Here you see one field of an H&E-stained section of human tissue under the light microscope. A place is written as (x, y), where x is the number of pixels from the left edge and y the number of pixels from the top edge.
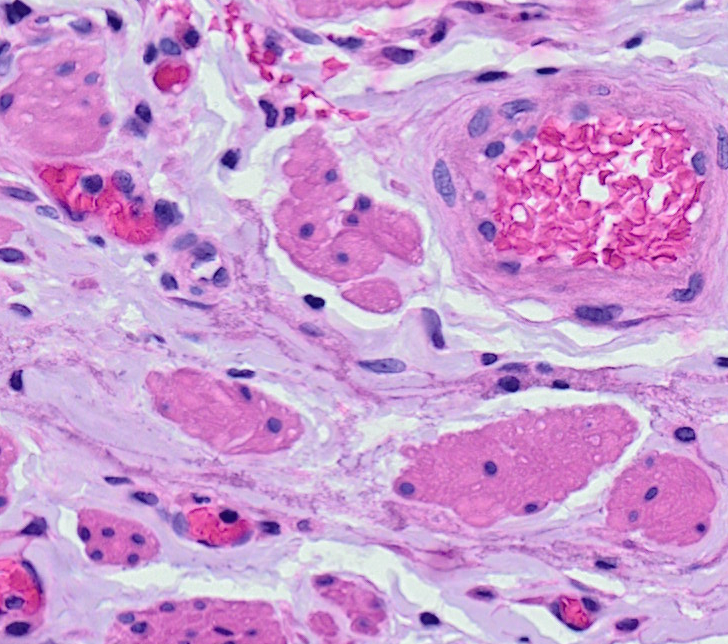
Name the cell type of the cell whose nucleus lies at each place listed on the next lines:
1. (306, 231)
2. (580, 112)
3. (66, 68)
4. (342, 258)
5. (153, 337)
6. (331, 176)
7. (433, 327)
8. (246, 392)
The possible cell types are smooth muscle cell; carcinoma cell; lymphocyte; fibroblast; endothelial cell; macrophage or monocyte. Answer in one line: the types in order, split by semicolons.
smooth muscle cell; endothelial cell; smooth muscle cell; smooth muscle cell; fibroblast; smooth muscle cell; fibroblast; smooth muscle cell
